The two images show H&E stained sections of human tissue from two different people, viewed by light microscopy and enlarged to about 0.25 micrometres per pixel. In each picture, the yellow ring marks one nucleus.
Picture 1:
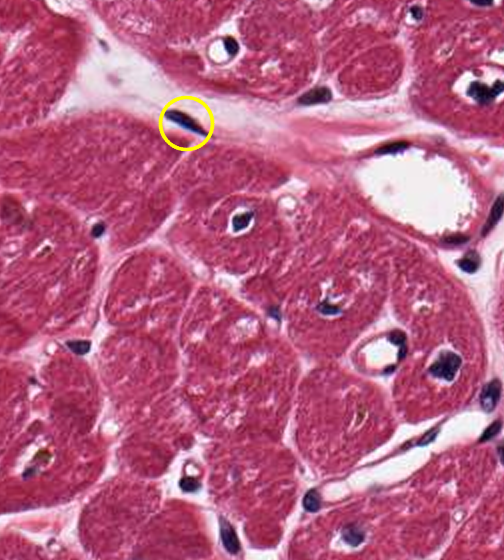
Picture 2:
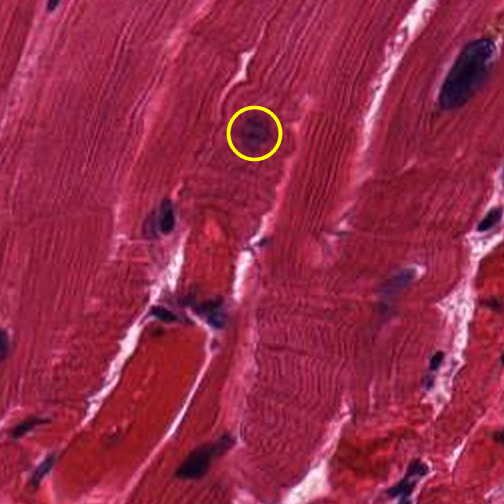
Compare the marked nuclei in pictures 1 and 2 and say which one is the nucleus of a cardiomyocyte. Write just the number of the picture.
2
